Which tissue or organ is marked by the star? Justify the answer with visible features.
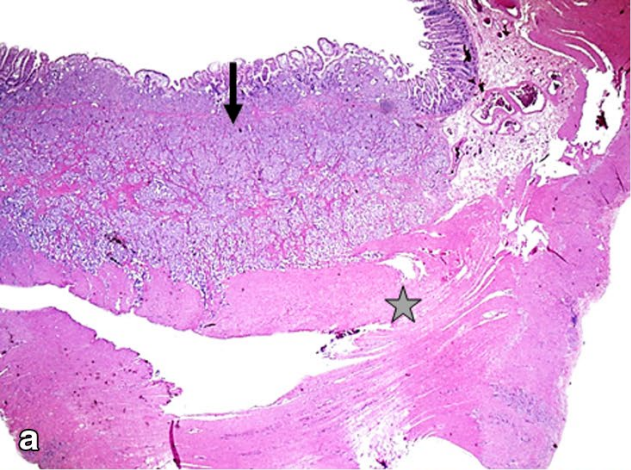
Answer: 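The star lies in a broad band of pink, fibrillar tissue beneath the mucosa and the purple tumor. The pink band is made of long bundles running in layers.
Answer: muscularis propria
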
